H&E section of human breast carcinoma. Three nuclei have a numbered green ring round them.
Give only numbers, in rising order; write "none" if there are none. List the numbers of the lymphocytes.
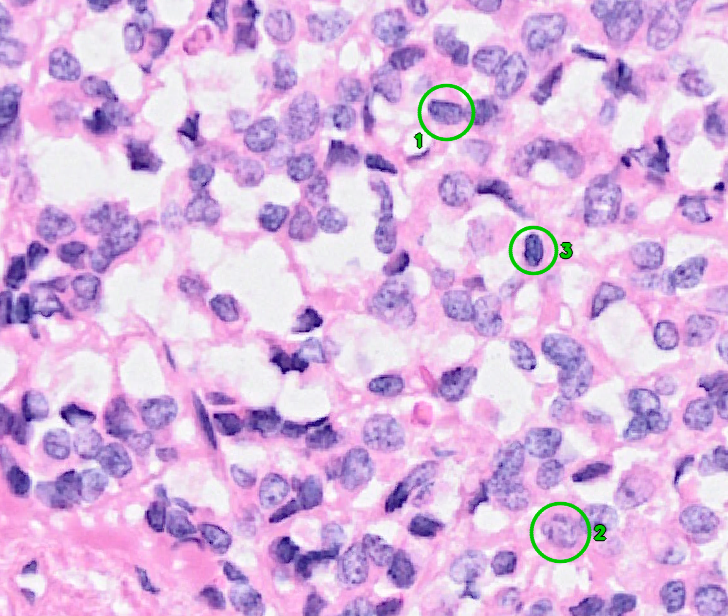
3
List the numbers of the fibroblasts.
none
